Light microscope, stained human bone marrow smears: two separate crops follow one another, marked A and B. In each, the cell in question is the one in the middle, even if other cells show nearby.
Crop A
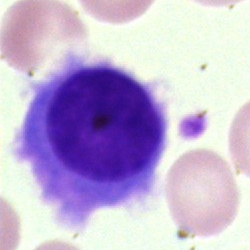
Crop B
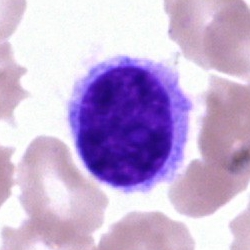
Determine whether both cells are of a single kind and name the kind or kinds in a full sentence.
Yes, in the case of both crops, the central cells are hairy cells.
